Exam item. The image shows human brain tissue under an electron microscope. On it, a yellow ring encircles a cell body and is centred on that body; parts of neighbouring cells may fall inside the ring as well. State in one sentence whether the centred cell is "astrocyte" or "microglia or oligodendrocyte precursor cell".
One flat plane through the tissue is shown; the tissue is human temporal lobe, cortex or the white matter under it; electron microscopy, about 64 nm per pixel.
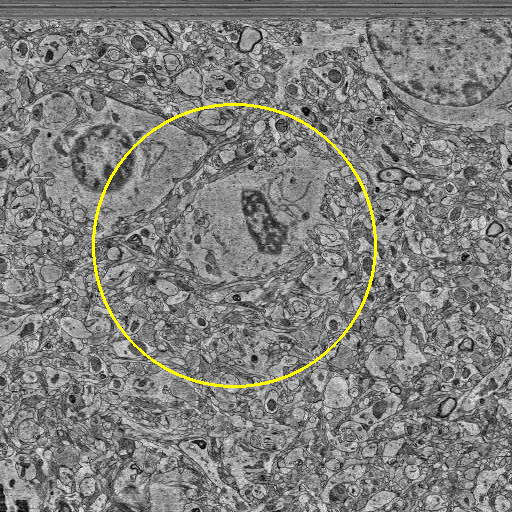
The cell body centred in the ring is an astrocyte.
